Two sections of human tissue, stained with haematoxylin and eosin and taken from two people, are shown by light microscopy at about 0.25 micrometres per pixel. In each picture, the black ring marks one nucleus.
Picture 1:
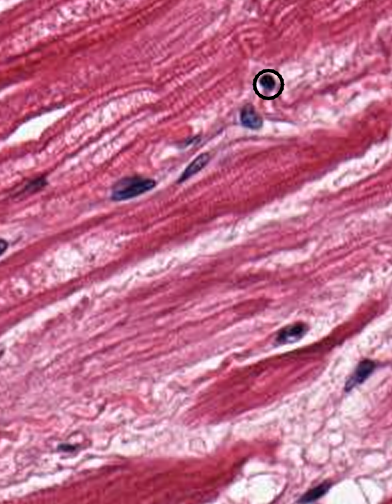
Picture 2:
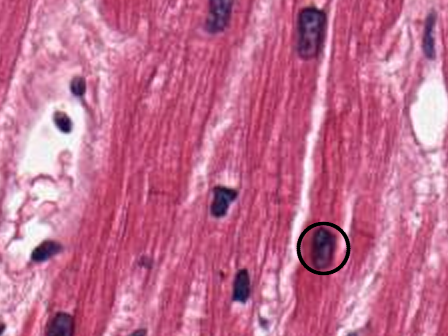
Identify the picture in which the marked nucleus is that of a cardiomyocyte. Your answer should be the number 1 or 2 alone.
2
